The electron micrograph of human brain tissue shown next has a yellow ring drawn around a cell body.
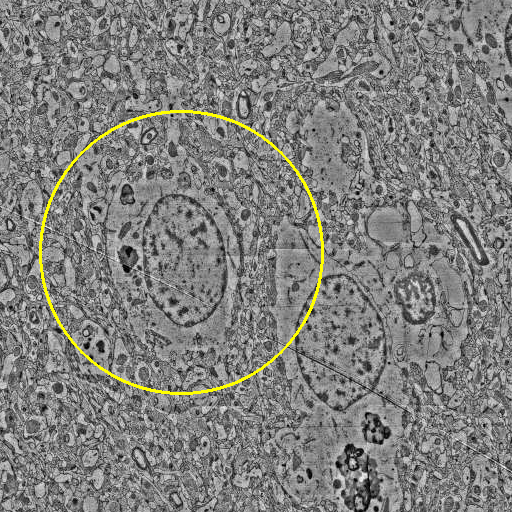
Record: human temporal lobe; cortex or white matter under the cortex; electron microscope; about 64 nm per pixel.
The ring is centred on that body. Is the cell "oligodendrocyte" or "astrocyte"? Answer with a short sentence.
The cell in question is an astrocyte.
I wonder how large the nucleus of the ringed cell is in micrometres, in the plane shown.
In this plane, approximately 8 by 5 micrometers, and clearly longer than it is wide.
